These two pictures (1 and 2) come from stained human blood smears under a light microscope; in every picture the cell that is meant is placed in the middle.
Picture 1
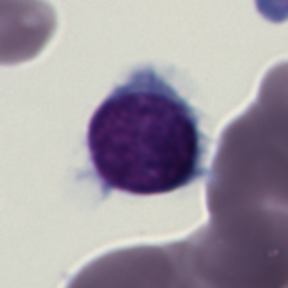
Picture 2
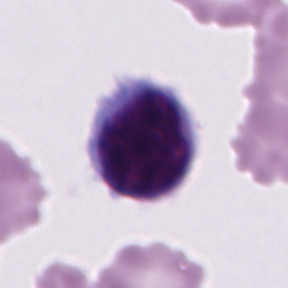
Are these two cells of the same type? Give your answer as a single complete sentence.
Yes; the cells in both pictures are hairy cells.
